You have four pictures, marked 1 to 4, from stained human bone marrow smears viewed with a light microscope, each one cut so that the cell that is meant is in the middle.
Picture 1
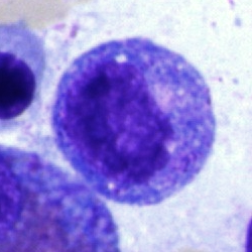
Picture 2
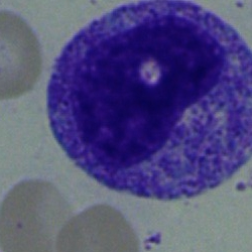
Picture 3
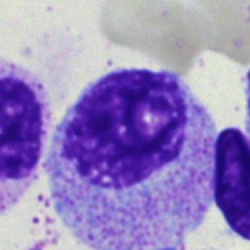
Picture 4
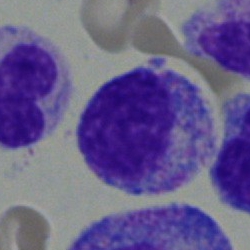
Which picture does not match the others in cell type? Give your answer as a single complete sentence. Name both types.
All pictures except 1 show myelocytes; picture 1 shows a promyelocyte.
